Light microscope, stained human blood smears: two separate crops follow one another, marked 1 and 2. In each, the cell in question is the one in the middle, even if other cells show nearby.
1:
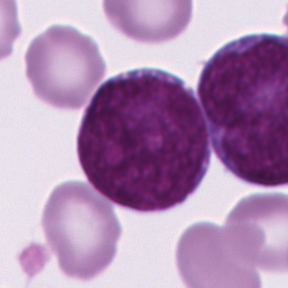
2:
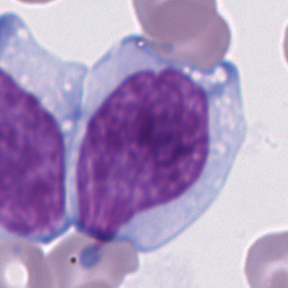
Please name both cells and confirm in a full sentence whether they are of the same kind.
Yes, blasts are at the centre in both crops.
